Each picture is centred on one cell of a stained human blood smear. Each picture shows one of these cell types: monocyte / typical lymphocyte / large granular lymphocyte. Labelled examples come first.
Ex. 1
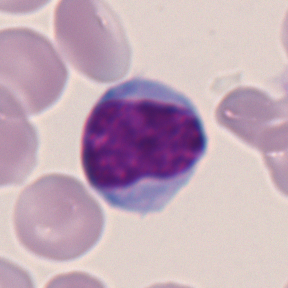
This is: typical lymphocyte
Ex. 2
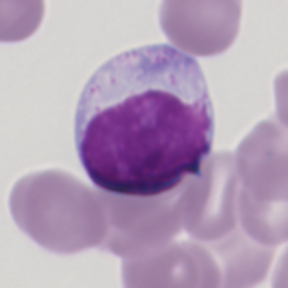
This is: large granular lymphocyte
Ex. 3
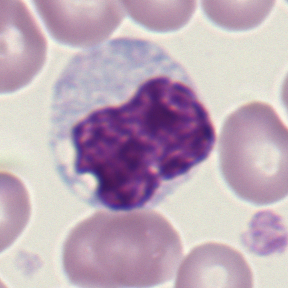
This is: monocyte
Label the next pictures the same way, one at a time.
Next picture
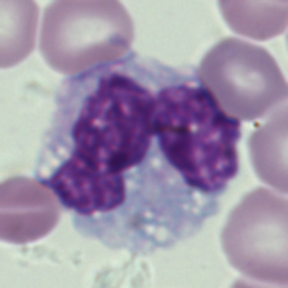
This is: monocyte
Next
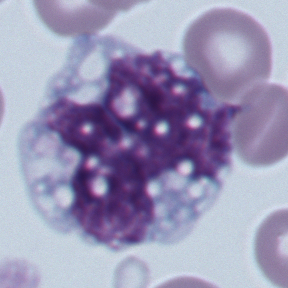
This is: monocyte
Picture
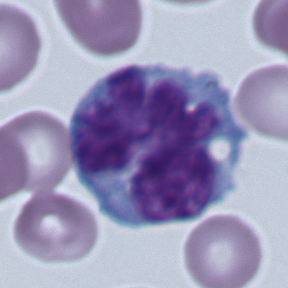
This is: monocyte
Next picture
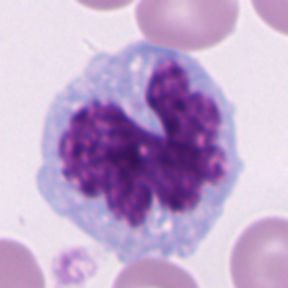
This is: monocyte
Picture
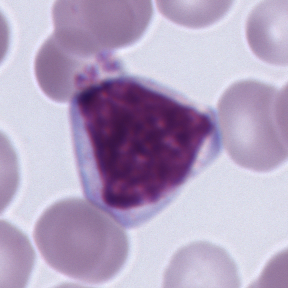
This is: large granular lymphocyte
